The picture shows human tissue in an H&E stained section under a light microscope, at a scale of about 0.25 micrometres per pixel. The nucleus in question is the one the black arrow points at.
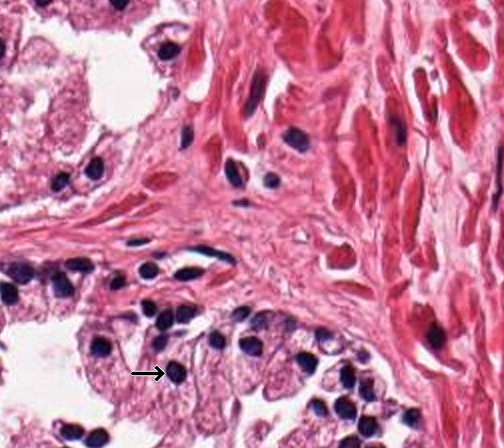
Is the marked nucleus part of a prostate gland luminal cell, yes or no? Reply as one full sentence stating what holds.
Yes, the marked nucleus represents the nucleus of a prostate gland luminal cell.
